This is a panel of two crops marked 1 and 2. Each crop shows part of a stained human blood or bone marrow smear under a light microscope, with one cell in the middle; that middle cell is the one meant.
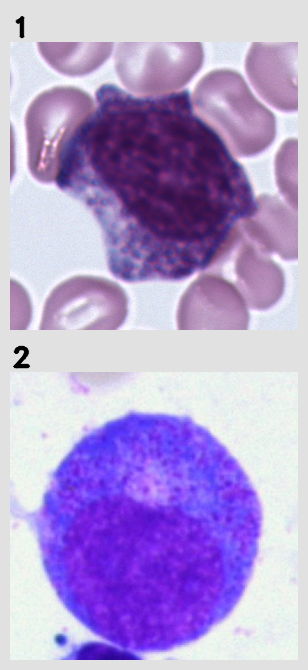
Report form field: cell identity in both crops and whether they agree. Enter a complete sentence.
Yes, the central cells, in both crops, are promyelocytes.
